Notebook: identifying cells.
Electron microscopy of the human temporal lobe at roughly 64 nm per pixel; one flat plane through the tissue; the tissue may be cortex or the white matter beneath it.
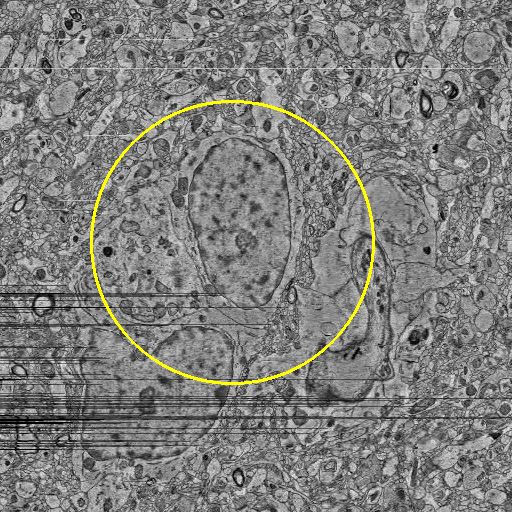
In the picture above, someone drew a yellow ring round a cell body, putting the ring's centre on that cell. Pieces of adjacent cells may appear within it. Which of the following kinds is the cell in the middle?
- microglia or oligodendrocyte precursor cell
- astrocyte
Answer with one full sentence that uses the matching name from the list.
In this picture, the yellow ring is centred on the body of a microglial cell or oligodendrocyte precursor cell.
